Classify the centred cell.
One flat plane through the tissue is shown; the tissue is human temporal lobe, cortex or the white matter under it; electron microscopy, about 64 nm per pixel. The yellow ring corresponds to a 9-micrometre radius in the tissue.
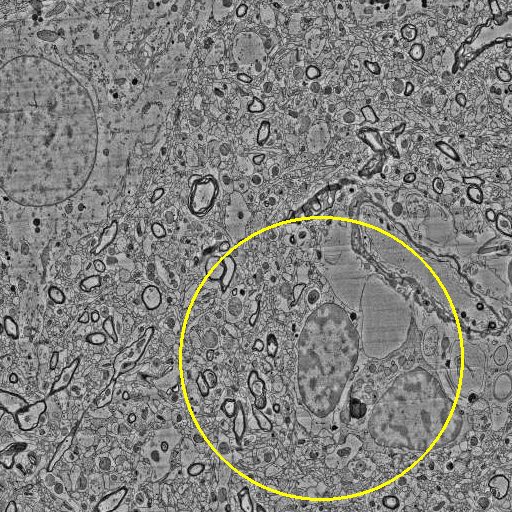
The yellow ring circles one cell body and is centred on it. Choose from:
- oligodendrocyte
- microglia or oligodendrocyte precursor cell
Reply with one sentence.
The ring is centred on a microglial cell or oligodendrocyte precursor cell.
